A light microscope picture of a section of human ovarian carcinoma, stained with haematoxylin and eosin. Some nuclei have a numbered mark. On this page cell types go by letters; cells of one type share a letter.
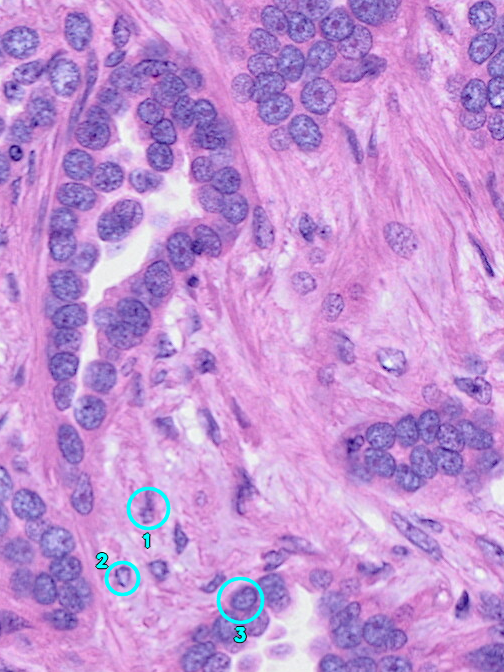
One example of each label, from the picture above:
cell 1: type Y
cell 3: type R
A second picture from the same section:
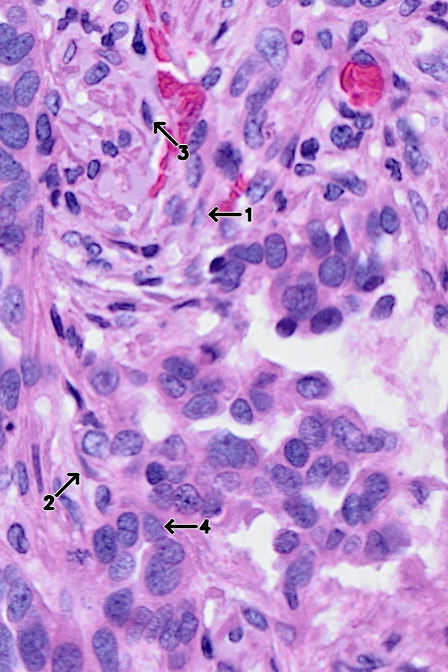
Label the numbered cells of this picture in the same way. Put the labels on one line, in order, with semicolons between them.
type Y; type Y; type Y; type R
